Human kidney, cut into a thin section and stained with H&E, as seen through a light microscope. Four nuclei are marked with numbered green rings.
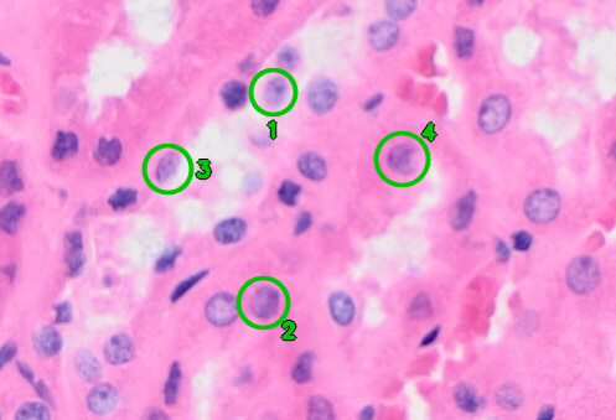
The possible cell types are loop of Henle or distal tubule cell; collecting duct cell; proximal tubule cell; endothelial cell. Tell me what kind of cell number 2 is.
proximal tubule cell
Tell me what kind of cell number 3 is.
loop of Henle or distal tubule cell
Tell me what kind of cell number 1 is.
loop of Henle or distal tubule cell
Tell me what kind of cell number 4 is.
proximal tubule cell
